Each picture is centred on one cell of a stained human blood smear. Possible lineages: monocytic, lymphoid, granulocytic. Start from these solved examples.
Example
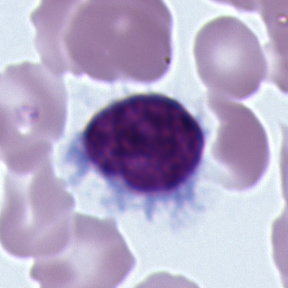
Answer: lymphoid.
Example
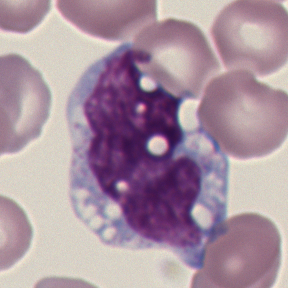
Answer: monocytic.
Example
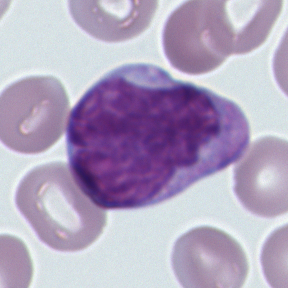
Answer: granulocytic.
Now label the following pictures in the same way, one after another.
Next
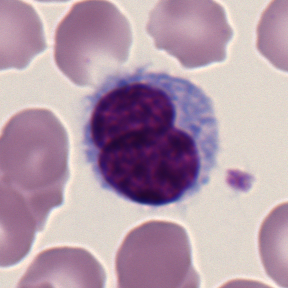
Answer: lymphoid.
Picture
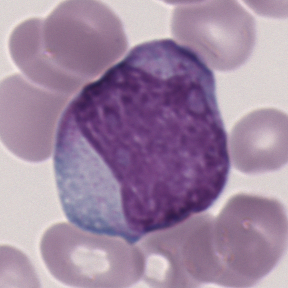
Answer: granulocytic.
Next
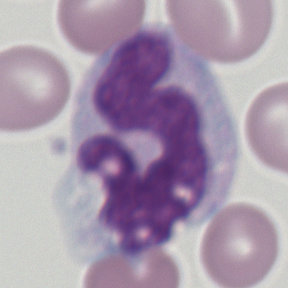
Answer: monocytic.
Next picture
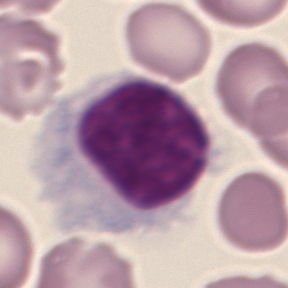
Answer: lymphoid.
